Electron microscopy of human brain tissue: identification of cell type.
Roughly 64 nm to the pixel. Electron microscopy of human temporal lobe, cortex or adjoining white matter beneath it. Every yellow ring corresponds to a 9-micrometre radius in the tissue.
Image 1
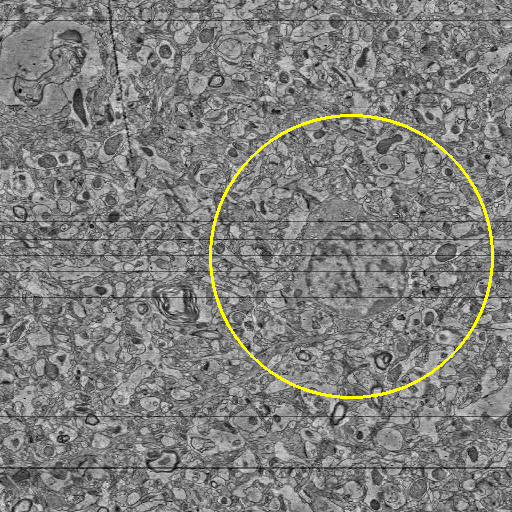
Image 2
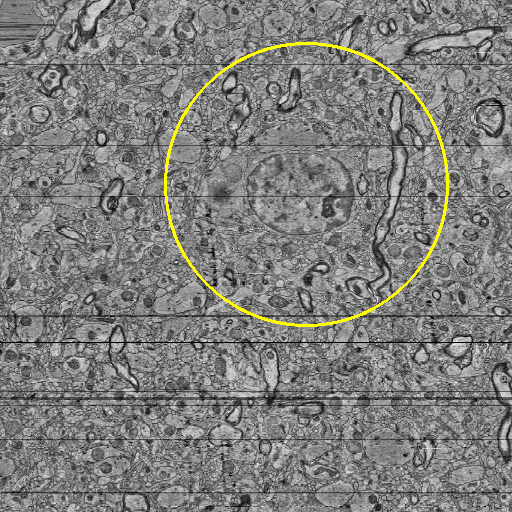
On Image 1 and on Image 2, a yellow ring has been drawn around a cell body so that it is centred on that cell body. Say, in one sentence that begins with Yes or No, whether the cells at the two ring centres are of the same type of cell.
Yes, both cells are the same type of cell.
